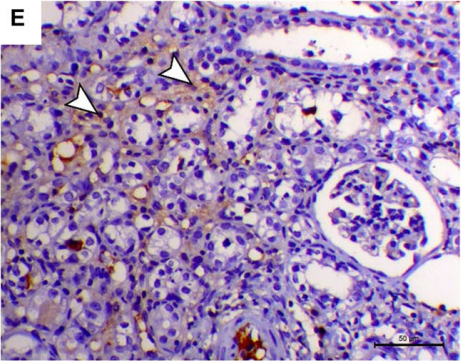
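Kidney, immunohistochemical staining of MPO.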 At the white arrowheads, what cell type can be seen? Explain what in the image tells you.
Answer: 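Interstitial inflammatory cells. The arrowheads point to cells in the space between tubules, not in tubule walls. Only faint brown staining is present around them.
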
